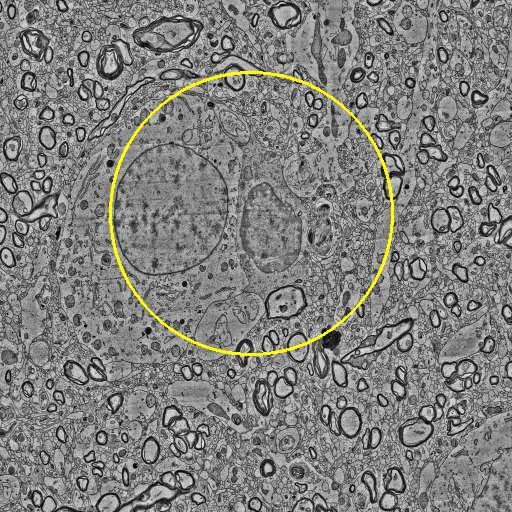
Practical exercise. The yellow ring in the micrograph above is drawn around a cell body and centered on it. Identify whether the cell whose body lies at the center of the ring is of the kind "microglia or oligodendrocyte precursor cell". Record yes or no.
no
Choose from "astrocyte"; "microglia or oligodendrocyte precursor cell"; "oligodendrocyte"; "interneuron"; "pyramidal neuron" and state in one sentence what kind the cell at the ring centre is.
Instead, the ringed cell here is an oligodendrocyte.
